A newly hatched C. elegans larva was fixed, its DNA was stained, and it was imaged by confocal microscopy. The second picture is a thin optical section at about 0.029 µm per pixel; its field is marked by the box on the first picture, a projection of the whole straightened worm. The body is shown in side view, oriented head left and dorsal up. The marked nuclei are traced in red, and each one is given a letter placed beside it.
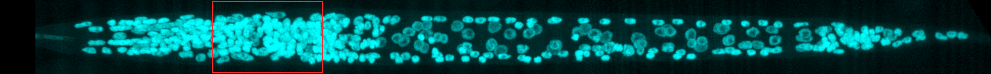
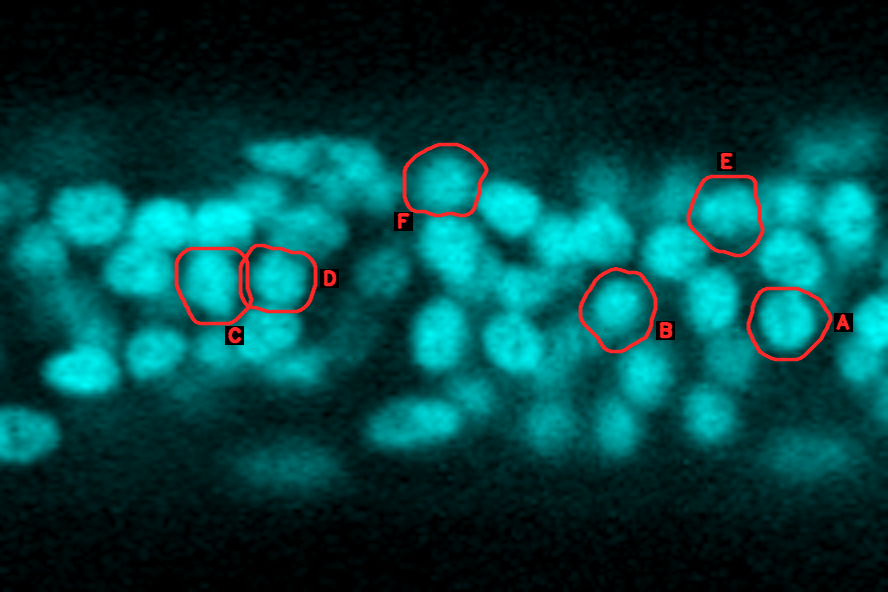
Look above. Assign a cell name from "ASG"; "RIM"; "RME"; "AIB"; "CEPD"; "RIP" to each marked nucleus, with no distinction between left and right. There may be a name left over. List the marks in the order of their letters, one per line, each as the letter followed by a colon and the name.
A: RIM
B: AIB
C: RIP
D: RME
E: ASG
F: CEPD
